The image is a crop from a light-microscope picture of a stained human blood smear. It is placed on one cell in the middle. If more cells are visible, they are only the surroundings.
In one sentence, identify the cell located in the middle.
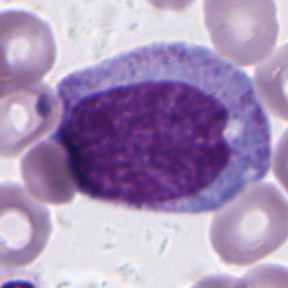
This particular crop is centered on a promyelocyte.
